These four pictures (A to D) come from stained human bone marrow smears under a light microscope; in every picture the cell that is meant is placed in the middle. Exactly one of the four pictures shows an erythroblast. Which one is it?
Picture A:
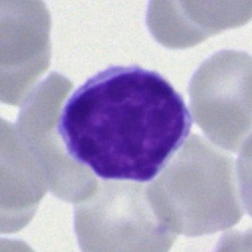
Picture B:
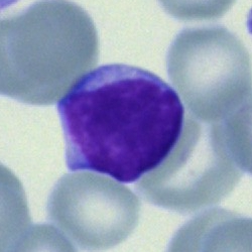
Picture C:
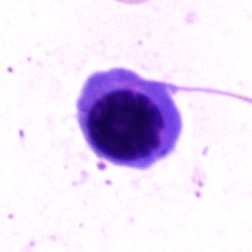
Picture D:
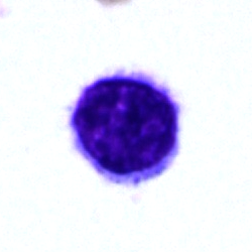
C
